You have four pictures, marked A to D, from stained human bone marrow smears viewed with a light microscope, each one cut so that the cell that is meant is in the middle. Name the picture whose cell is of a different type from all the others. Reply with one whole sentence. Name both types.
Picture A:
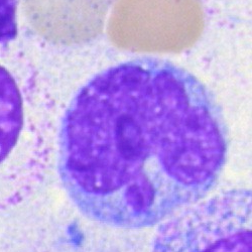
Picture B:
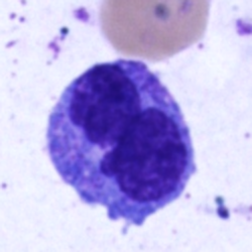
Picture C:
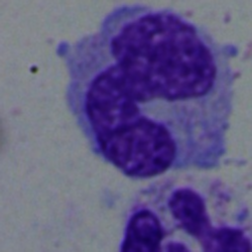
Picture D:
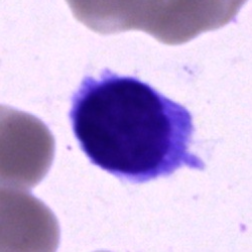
The others show monocytes, but picture D shows a lymphocyte.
